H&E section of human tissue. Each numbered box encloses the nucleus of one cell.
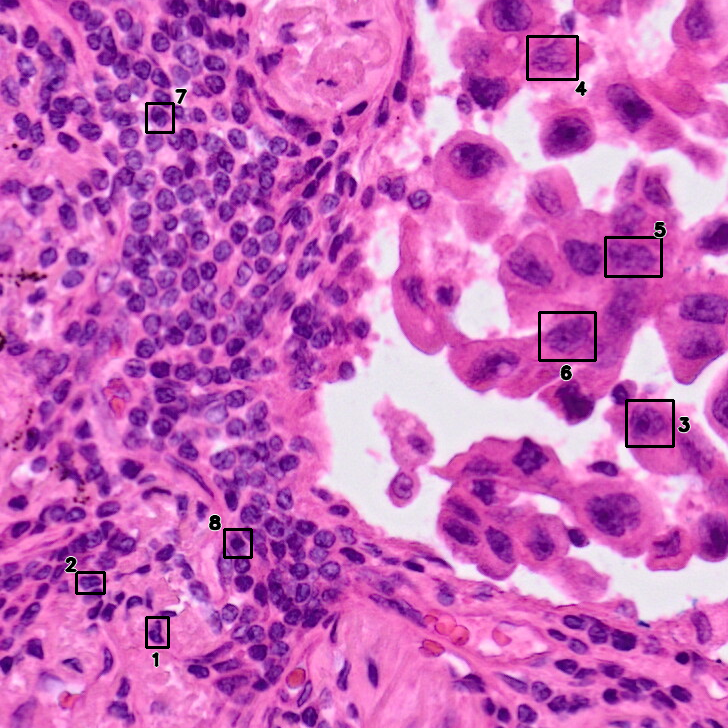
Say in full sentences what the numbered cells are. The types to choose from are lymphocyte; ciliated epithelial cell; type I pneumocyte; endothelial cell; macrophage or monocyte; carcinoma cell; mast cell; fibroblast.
Cell 1 is a lymphocyte, cell 2 is a lymphocyte, cell 3 is a carcinoma cell, cell 4 is a carcinoma cell, cell 5 is a carcinoma cell, cell 6 is a carcinoma cell, cell 7 is a lymphocyte and cell 8 is a lymphocyte.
